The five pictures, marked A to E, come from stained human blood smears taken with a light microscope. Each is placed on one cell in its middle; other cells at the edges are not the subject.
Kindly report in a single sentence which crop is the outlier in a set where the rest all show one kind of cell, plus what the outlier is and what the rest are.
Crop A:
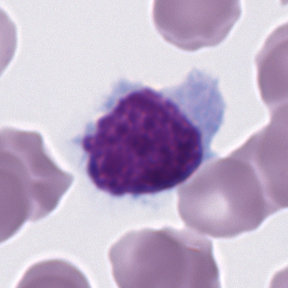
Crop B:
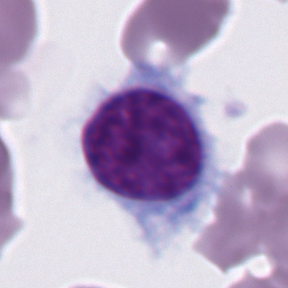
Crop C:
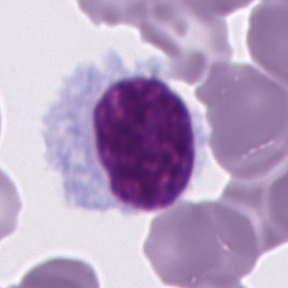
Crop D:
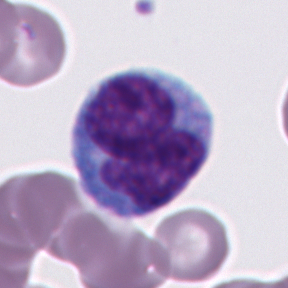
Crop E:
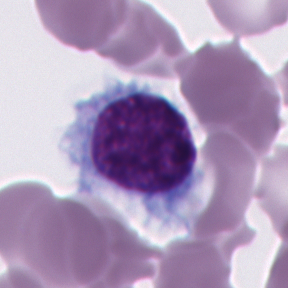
Crop D shows a monocyte, while all of the others show hairy cells.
